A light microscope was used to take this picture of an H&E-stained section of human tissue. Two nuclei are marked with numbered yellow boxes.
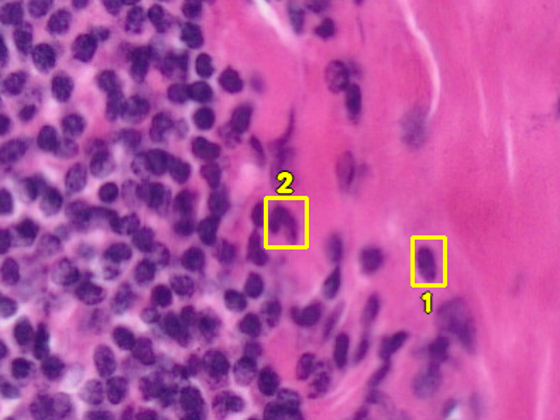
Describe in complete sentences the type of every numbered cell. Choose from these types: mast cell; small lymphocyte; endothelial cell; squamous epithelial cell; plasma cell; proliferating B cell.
Cell 1 is a mast cell and cell 2 is an endothelial cell.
